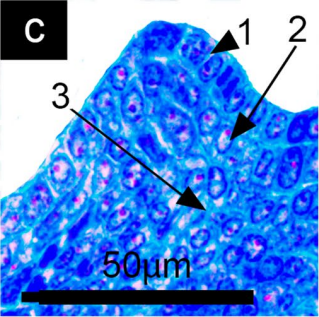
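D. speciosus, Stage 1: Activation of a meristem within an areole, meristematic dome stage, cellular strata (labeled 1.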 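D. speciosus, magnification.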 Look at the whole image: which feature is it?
leaf primordium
